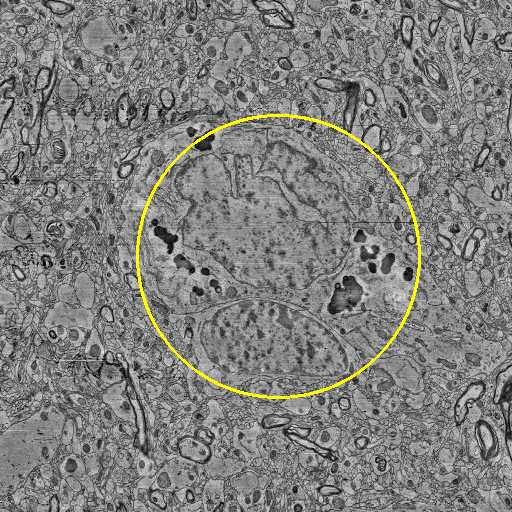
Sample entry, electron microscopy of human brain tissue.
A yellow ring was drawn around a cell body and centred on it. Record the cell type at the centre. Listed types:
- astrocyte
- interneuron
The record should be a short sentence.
The cell at the ring's centre is an interneuron.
